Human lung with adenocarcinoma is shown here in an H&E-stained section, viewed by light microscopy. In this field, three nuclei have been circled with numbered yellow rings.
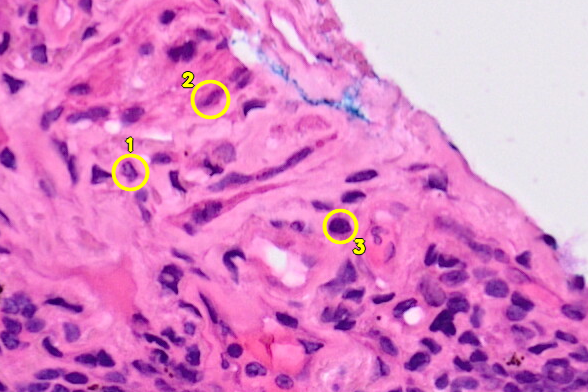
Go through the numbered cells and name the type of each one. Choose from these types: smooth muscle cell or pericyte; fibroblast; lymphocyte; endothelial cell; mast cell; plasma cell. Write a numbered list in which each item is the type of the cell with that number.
1. mast cell
2. smooth muscle cell or pericyte
3. plasma cell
